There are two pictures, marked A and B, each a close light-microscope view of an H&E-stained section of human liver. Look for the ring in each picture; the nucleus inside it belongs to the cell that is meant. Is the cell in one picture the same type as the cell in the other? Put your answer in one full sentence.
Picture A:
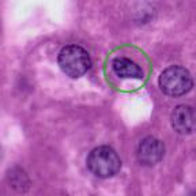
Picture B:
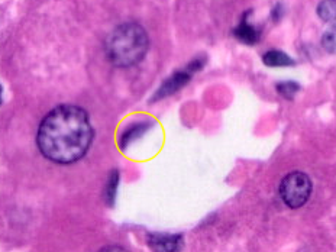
Yes, they are the same type: both are “fibroblasts or stellate cells”.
